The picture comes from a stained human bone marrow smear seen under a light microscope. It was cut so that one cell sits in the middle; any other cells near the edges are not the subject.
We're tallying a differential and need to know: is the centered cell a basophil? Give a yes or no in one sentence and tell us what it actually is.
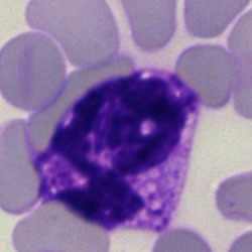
Yes, the central element of the crop is a basophil.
